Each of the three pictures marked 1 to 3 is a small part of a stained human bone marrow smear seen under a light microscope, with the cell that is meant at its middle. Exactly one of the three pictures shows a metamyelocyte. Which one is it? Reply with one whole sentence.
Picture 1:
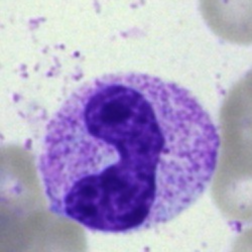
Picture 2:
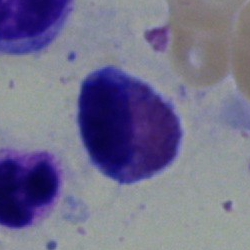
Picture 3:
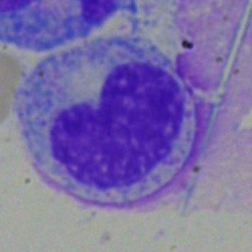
The cell in picture 3 is the metamyelocyte.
